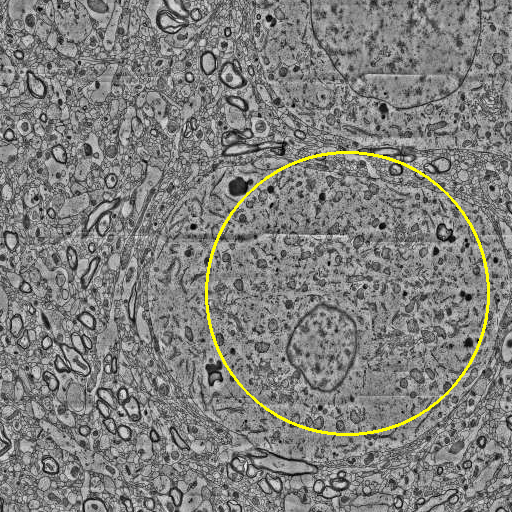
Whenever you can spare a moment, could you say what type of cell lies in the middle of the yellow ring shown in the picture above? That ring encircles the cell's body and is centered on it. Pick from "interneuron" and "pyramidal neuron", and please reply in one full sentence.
The cell whose body sits at the middle of the yellow ring is a pyramidal neuron.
